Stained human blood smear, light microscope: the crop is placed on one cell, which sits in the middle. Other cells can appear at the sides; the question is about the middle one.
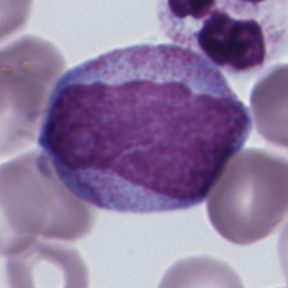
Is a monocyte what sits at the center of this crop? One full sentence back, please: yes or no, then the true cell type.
No, the cell positioned in the middle is a promyelocyte, not a monocyte.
